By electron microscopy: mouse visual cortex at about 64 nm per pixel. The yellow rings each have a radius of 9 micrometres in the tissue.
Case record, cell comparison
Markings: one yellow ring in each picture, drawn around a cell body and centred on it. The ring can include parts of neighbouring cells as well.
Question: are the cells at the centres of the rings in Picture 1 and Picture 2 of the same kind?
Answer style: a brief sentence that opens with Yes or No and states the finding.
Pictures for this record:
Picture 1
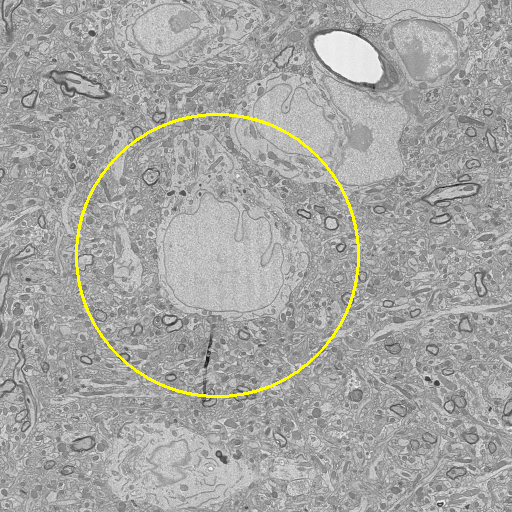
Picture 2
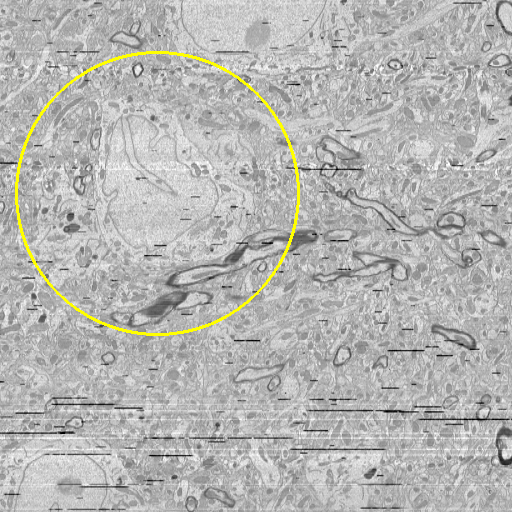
No, the cells in Picture 1 and Picture 2 are of two kinds.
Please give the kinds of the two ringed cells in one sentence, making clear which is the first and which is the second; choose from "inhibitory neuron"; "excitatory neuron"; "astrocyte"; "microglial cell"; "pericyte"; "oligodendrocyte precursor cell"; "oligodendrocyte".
In the second picture the ringed cell is an inhibitory neuron; in the first it is an excitatory neuron.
